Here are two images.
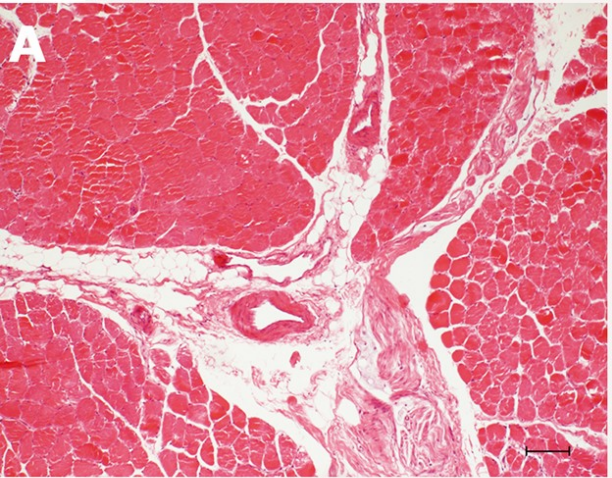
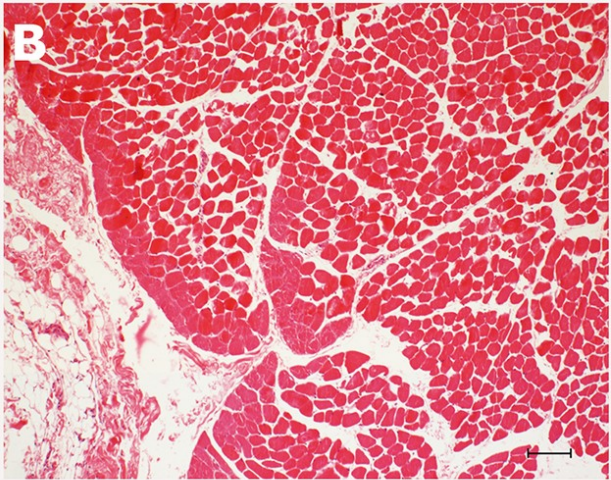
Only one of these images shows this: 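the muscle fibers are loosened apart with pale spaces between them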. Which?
The second image.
